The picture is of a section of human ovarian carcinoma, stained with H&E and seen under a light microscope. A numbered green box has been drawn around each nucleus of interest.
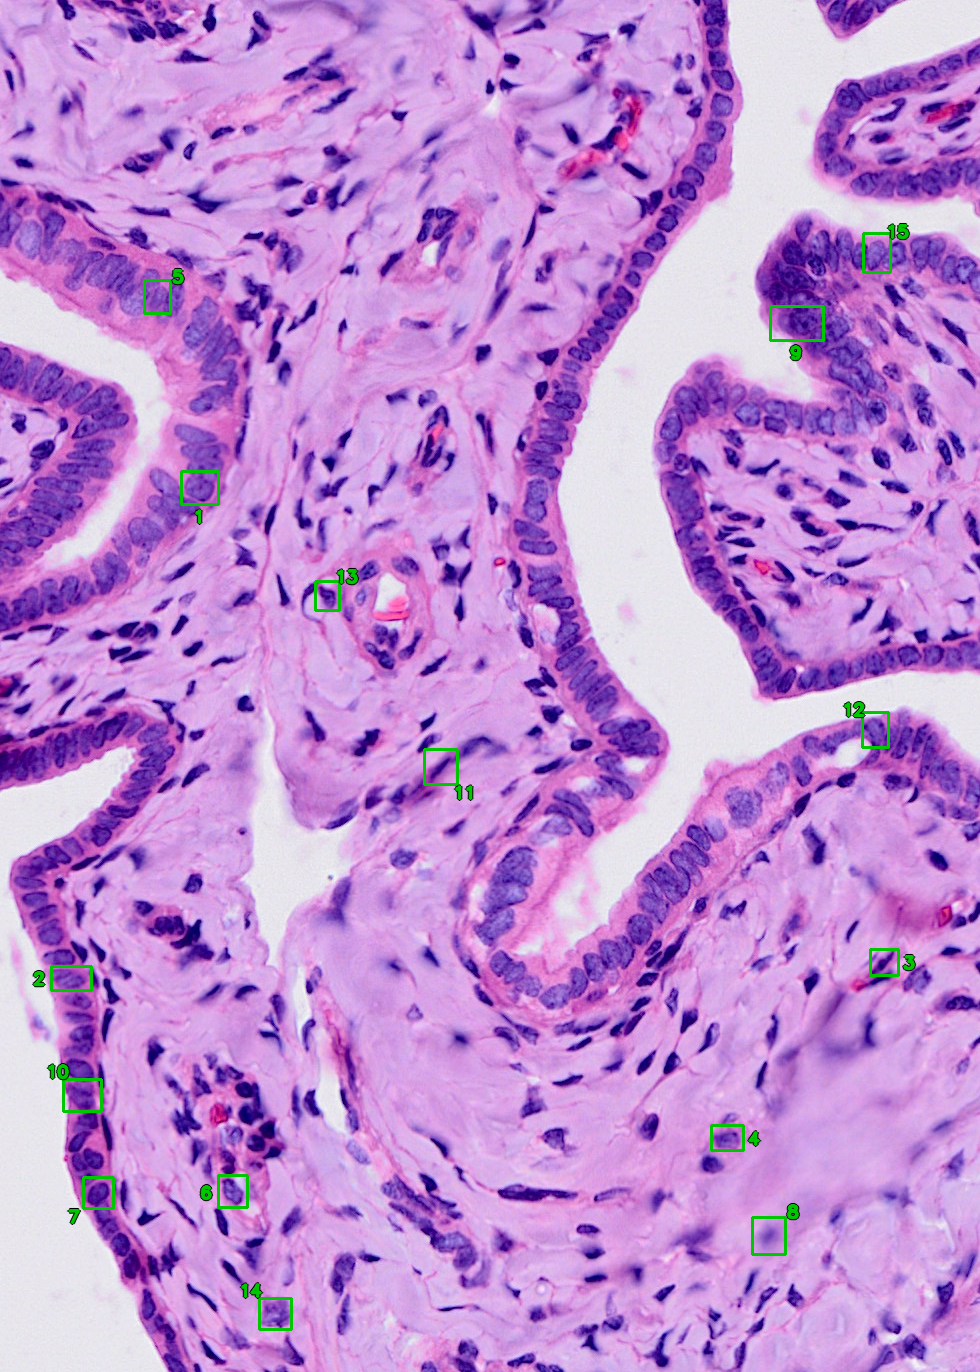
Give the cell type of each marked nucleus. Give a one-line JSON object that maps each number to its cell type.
{"1": "carcinoma cell", "2": "carcinoma cell", "3": "endothelial cell", "4": "endothelial cell", "5": "carcinoma cell", "6": "endothelial cell", "7": "carcinoma cell", "8": "fibroblast", "9": "carcinoma cell", "10": "carcinoma cell", "11": "endothelial cell", "12": "carcinoma cell", "13": "smooth muscle cell", "14": "fibroblast", "15": "carcinoma cell"}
